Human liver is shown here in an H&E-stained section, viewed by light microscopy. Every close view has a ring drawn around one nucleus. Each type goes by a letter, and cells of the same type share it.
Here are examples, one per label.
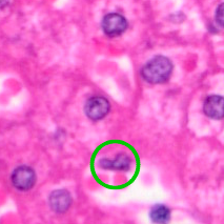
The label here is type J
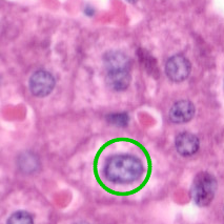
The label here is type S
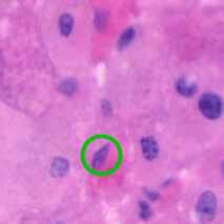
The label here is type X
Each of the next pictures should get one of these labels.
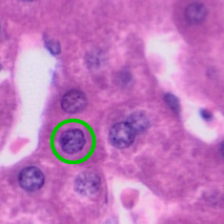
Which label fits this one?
type S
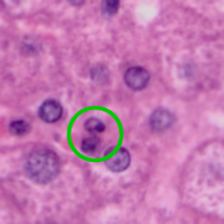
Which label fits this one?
type J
